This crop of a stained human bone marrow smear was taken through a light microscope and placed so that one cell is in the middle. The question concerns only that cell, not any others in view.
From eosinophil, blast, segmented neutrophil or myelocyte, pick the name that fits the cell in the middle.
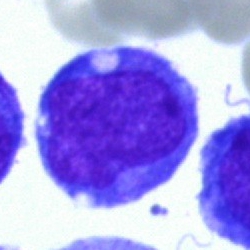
blast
